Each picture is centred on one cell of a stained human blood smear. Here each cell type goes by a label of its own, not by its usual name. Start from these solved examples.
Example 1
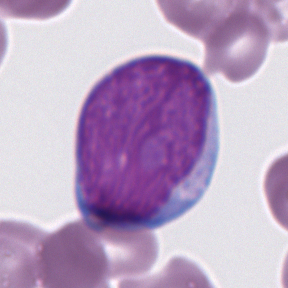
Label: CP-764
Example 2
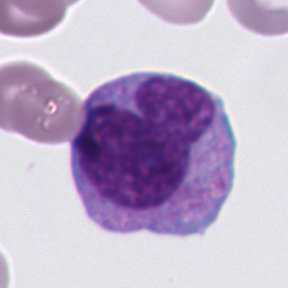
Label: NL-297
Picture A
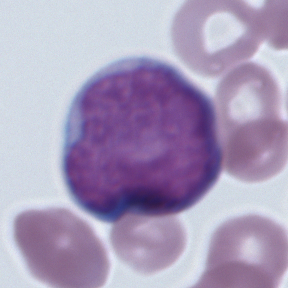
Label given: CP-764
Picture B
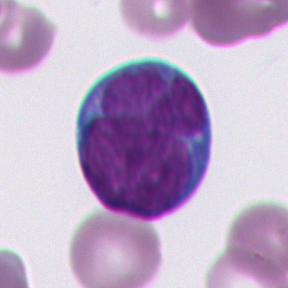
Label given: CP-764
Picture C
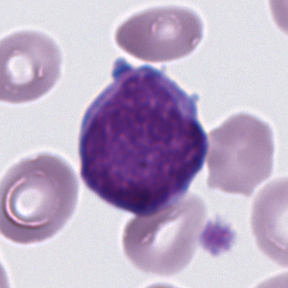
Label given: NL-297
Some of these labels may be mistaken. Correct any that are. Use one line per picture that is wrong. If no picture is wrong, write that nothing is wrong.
C: change NL-297 to CP-764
